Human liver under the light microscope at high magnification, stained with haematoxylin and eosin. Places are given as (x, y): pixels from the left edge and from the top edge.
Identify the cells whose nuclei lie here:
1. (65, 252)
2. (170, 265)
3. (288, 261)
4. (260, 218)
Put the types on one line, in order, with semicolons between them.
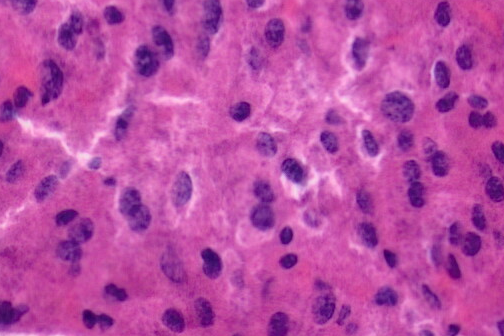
hepatocyte; hepatocyte; lymphocyte; hepatocyte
